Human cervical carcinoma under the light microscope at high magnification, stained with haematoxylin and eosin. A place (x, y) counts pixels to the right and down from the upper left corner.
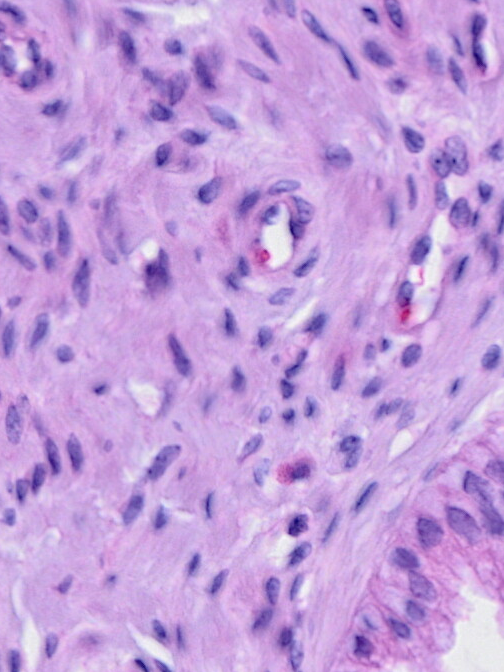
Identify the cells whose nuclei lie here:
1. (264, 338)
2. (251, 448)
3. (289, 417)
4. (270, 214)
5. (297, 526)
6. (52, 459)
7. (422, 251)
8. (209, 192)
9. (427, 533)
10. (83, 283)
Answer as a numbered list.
1. fibroblast
2. fibroblast
3. fibroblast
4. endothelial cell
5. lymphocyte
6. fibroblast
7. endothelial cell
8. fibroblast
9. secretory epithelial cell
10. fibroblast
